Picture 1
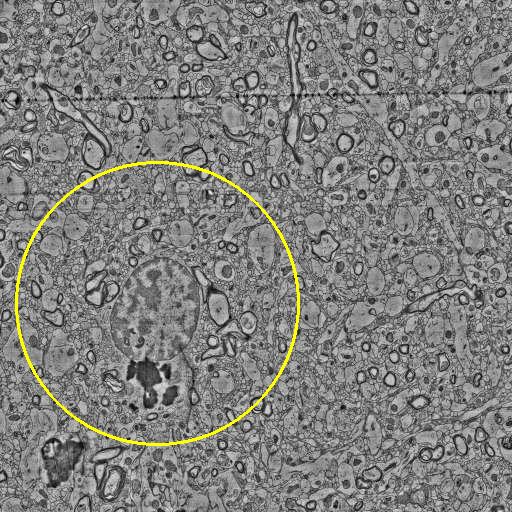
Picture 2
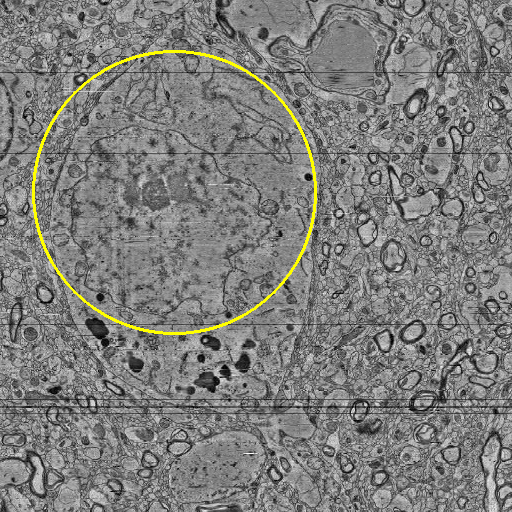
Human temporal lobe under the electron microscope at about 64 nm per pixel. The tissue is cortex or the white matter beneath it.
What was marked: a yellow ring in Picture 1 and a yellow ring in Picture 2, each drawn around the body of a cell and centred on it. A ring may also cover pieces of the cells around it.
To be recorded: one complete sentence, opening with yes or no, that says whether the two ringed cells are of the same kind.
No, the two ringed cells are of two kinds.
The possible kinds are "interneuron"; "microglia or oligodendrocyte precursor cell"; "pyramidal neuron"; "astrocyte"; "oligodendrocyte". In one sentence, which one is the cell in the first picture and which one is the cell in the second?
The cell ringed in the second picture is an interneuron, whereas the one ringed in the first is an oligodendrocyte.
